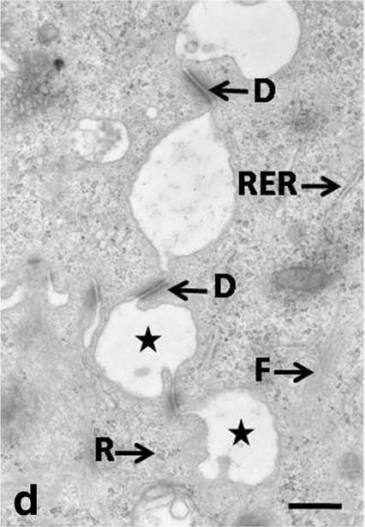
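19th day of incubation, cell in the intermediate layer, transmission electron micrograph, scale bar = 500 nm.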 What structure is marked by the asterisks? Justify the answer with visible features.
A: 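The asterisks lie in rounded pale electron-lucent spaces. The spaces are bounded by cell membranes with dense junctions at their edges.
Hence: wide intercellular spaces.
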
